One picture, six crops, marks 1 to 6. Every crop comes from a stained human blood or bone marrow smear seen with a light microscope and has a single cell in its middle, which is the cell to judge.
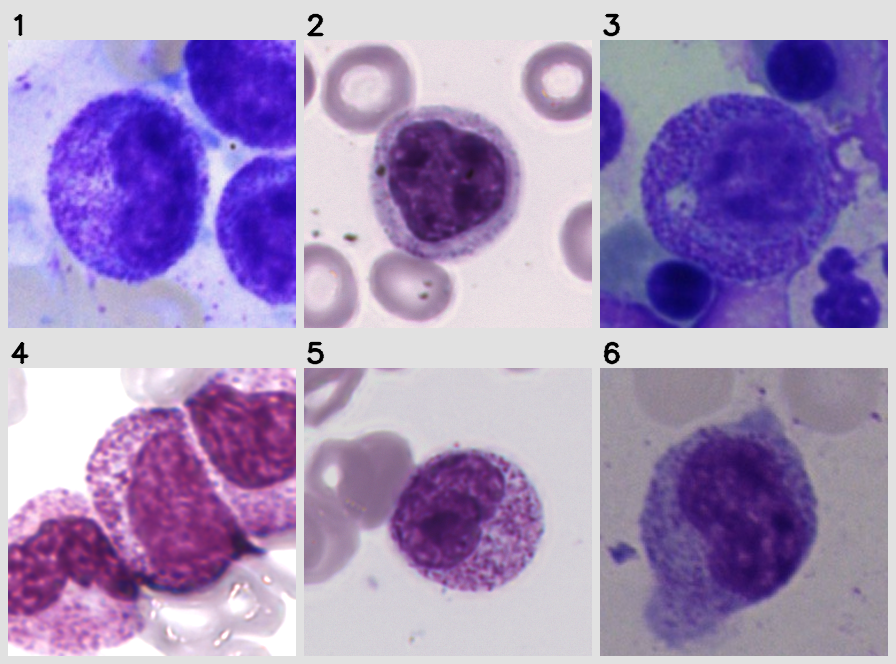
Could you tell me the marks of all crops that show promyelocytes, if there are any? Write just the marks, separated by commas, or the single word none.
none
